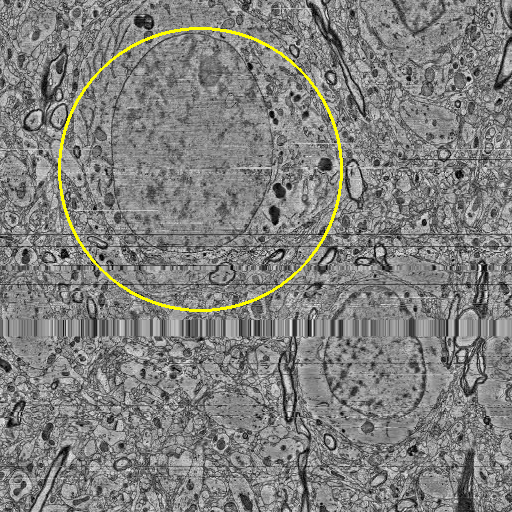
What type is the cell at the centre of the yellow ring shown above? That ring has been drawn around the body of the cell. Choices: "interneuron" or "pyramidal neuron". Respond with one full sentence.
My answer is that a pyramidal neuron lies at the centre of the yellow ring above.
